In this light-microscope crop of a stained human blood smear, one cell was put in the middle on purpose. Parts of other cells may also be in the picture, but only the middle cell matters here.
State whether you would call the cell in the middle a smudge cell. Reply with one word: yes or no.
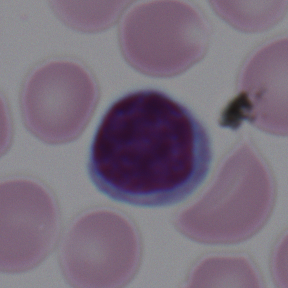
no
